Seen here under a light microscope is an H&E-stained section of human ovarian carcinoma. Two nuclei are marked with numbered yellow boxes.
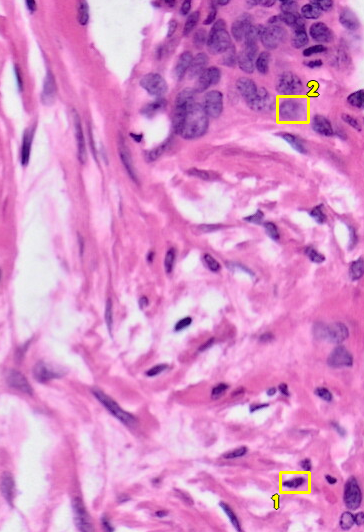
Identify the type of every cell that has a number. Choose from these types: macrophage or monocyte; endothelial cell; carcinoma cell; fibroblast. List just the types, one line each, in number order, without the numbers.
fibroblast
carcinoma cell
